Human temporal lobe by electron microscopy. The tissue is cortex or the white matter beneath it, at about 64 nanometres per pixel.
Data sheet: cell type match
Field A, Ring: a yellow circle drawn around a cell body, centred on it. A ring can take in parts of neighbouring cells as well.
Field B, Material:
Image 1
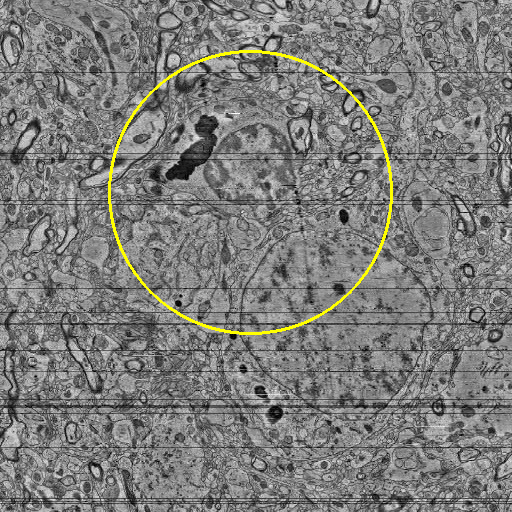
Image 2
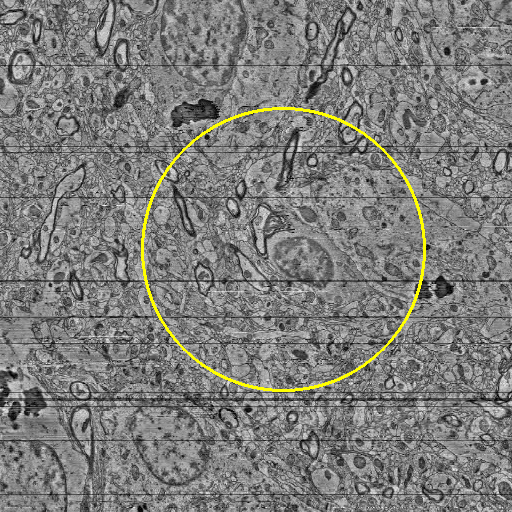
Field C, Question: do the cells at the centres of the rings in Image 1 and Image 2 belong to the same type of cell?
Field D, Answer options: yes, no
yes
